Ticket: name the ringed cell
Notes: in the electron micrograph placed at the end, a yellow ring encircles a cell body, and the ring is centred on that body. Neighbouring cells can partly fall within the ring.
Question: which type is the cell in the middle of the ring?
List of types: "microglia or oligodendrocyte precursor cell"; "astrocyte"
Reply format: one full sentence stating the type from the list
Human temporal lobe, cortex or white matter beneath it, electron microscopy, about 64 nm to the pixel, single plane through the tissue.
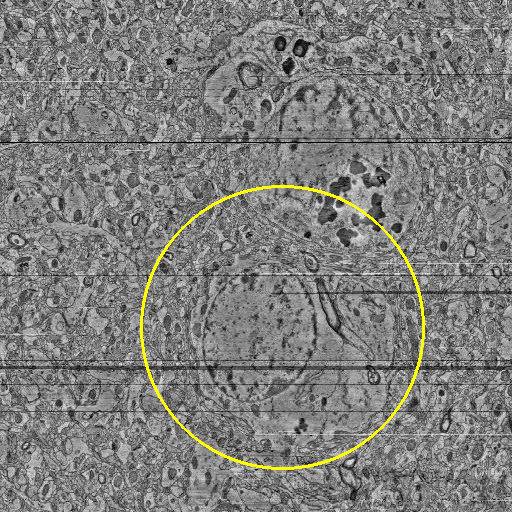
The cell sitting at the centre of the yellow ring is an astrocyte.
